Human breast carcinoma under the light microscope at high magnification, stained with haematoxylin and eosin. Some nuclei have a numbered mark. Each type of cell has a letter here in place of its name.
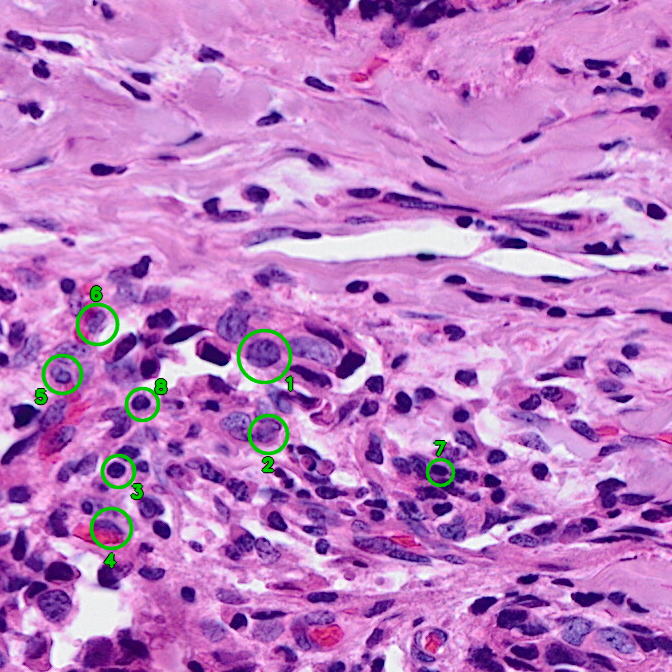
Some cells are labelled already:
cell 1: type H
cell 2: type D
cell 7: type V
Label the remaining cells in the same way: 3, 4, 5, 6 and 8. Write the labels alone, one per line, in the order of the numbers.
type V
type D
type D
type D
type V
